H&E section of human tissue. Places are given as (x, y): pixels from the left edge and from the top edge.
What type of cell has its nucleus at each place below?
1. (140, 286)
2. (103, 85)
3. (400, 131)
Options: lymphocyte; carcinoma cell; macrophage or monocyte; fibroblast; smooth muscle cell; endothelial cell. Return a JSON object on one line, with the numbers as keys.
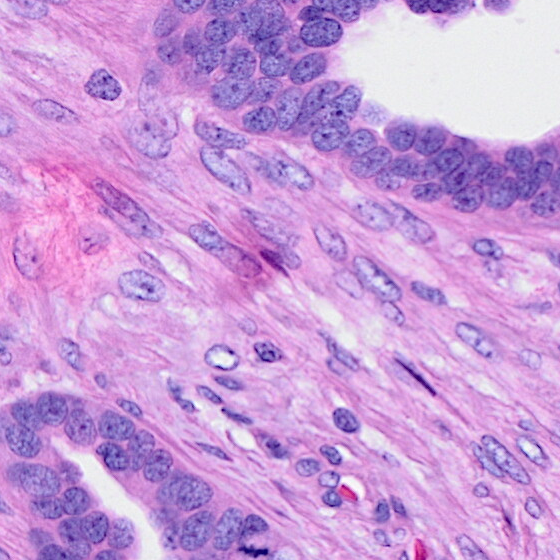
{"1": "fibroblast", "2": "macrophage or monocyte", "3": "carcinoma cell"}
